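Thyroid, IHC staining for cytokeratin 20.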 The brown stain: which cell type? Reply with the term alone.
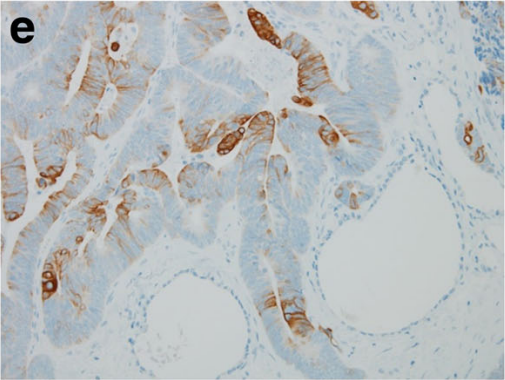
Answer: Tumor cells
